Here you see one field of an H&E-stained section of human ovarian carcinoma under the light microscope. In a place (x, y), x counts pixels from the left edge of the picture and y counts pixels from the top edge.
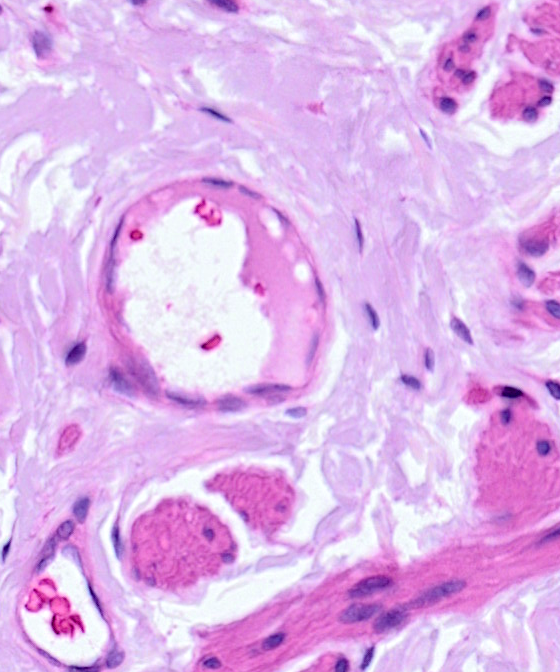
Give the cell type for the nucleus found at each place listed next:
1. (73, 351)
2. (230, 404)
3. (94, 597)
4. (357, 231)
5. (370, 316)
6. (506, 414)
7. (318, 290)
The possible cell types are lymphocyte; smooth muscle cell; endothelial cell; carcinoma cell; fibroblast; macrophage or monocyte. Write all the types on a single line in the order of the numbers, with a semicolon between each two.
fibroblast; endothelial cell; endothelial cell; fibroblast; fibroblast; smooth muscle cell; endothelial cell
